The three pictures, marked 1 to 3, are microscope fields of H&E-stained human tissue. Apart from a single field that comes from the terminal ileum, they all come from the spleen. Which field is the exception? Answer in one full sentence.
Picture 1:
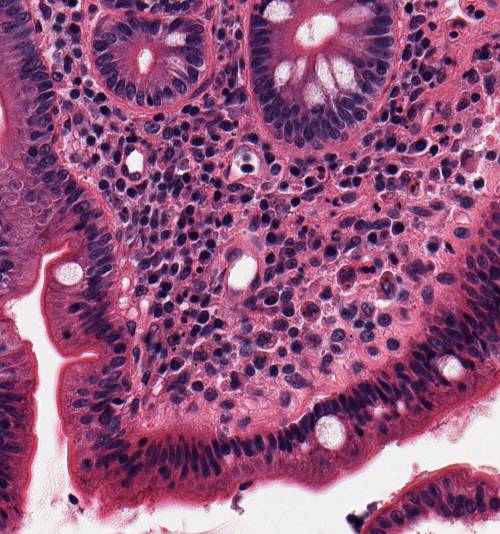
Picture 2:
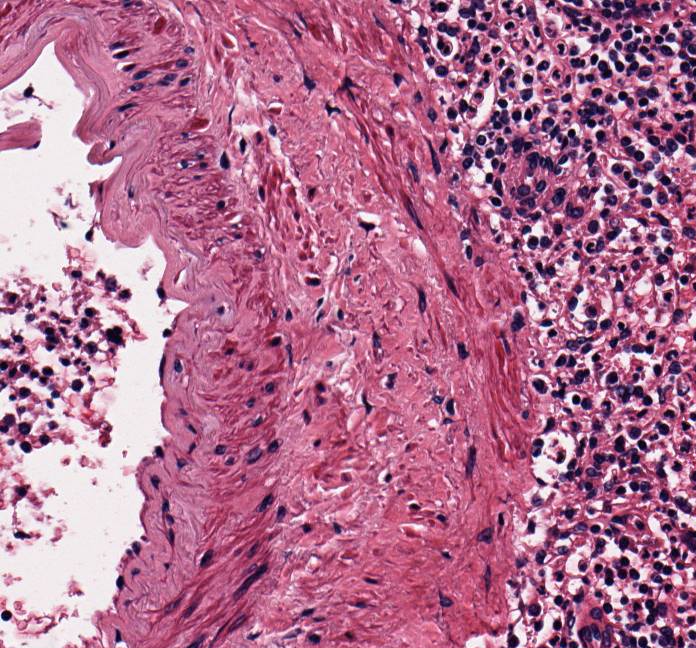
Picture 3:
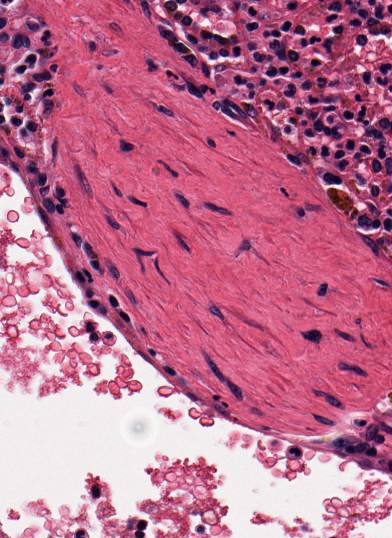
Picture 1 comes from the terminal ileum.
